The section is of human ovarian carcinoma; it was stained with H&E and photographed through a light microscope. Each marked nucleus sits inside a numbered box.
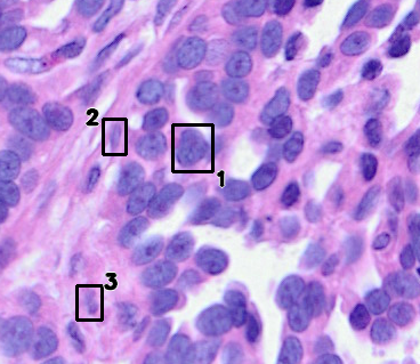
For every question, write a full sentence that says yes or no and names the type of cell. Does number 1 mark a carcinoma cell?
Yes, cell number 1 is identified here as a carcinoma cell.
